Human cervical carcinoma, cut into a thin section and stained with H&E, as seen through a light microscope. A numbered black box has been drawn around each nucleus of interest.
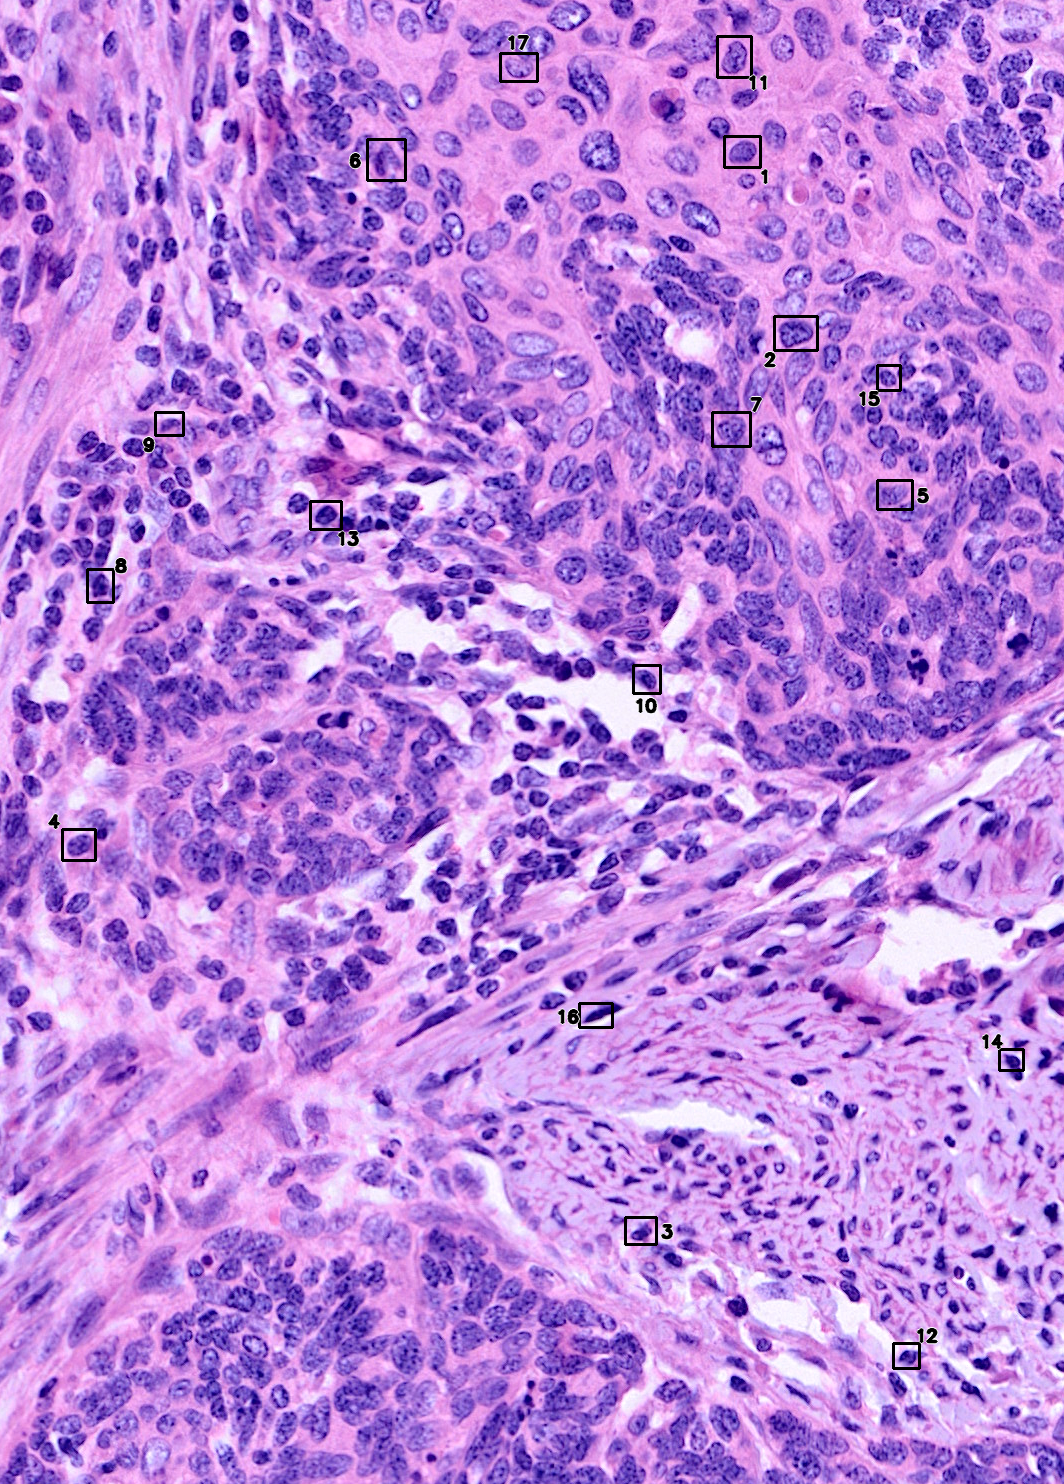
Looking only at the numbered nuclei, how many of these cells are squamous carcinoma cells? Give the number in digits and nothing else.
8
